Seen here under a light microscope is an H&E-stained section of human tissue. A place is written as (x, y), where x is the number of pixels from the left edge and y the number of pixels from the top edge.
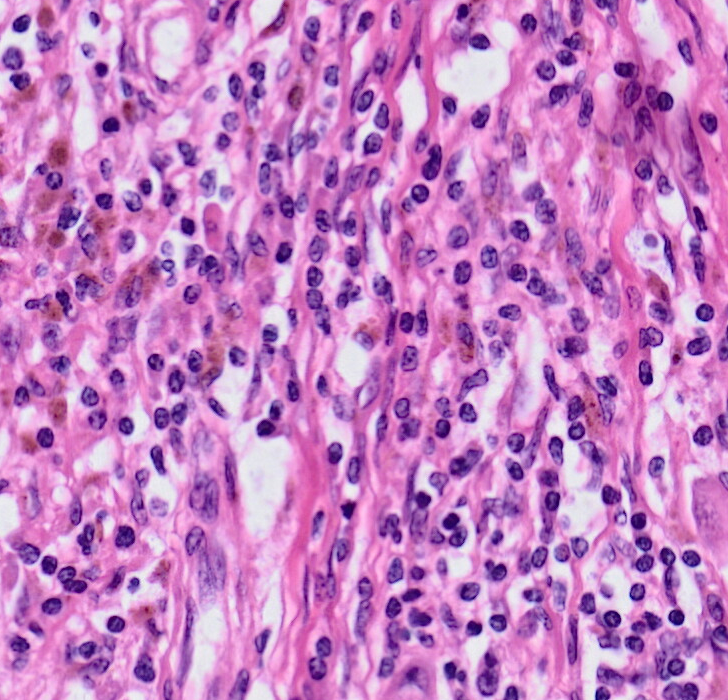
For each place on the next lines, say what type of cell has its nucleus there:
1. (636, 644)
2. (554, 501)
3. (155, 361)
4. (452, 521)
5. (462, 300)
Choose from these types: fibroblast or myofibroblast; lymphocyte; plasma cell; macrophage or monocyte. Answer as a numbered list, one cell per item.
1. lymphocyte
2. plasma cell
3. plasma cell
4. lymphocyte
5. macrophage or monocyte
